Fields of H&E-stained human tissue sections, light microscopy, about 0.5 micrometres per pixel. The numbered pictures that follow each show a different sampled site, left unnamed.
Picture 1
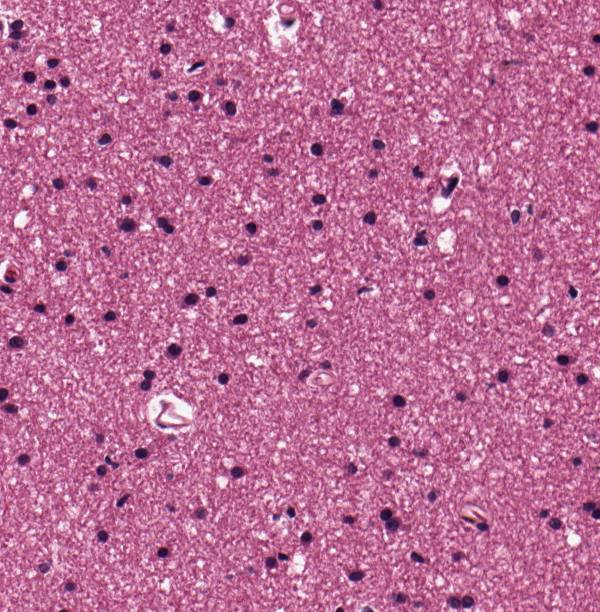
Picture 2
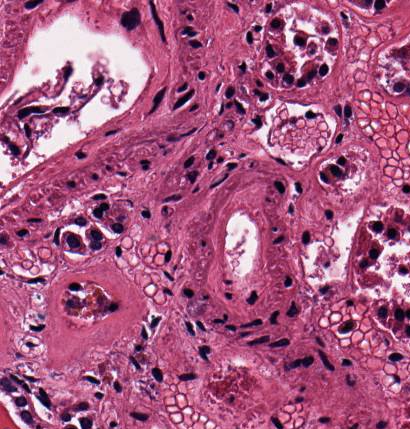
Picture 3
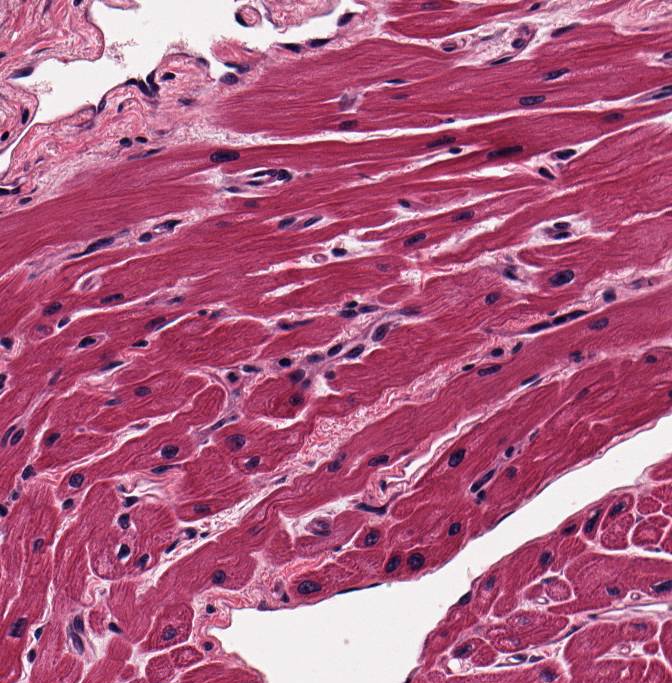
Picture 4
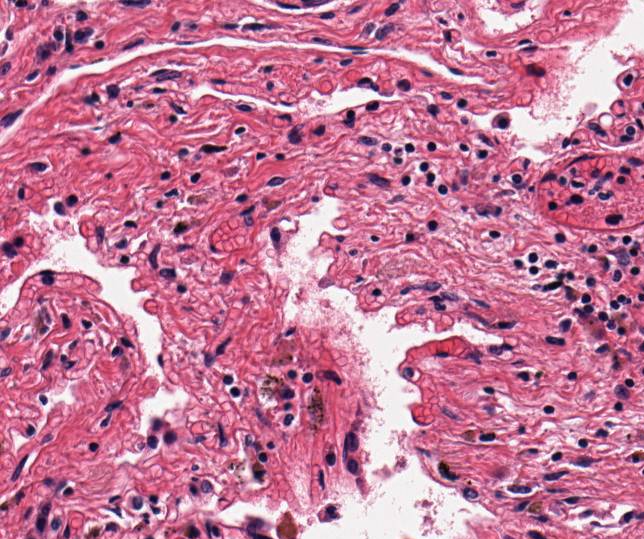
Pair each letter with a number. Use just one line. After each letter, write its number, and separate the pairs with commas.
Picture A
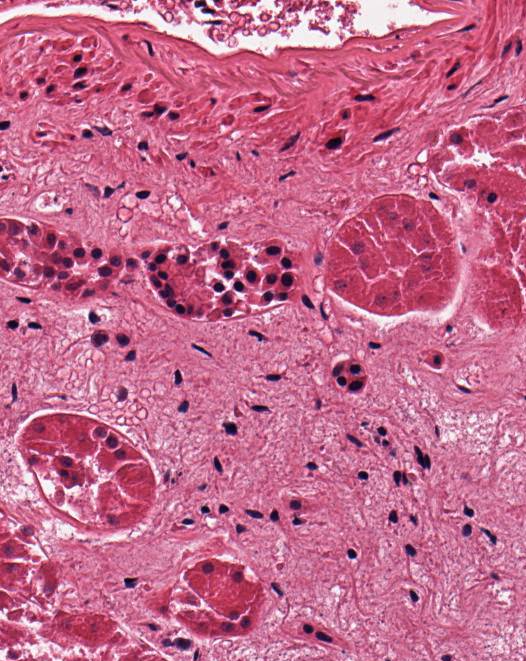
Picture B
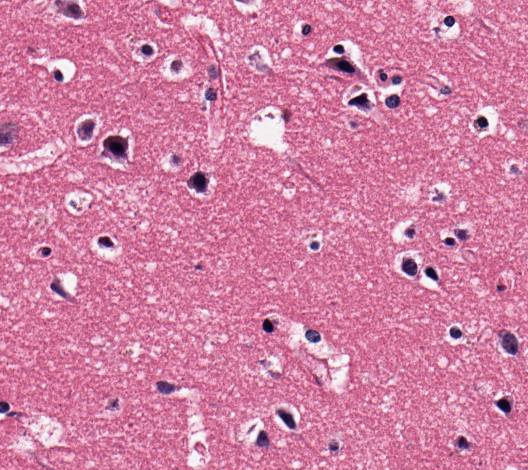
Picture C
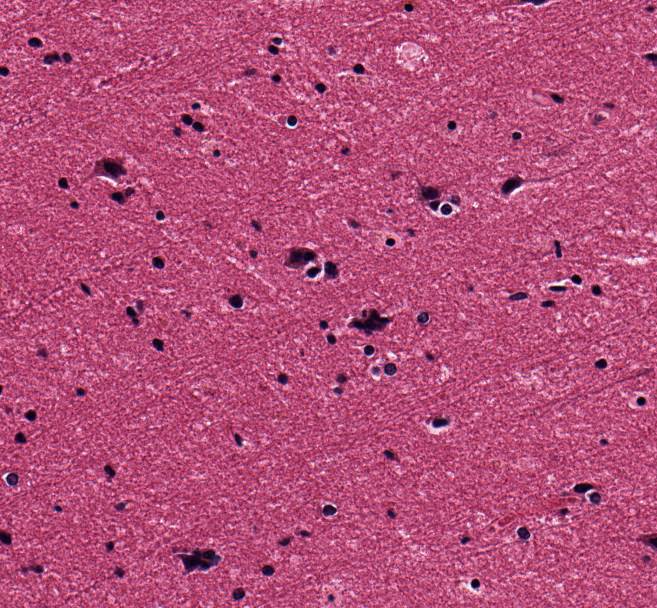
A 2, B 1, C 1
